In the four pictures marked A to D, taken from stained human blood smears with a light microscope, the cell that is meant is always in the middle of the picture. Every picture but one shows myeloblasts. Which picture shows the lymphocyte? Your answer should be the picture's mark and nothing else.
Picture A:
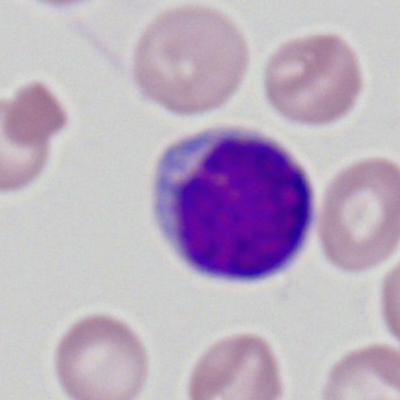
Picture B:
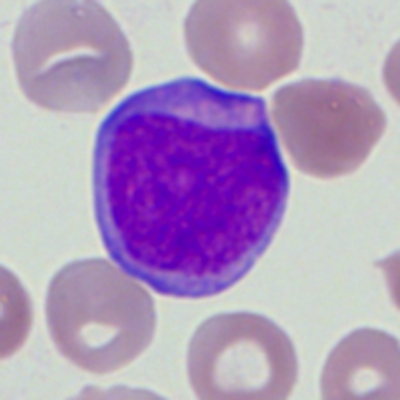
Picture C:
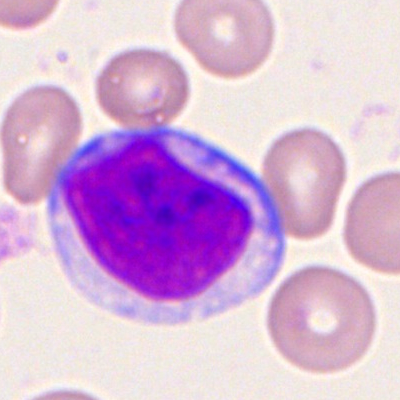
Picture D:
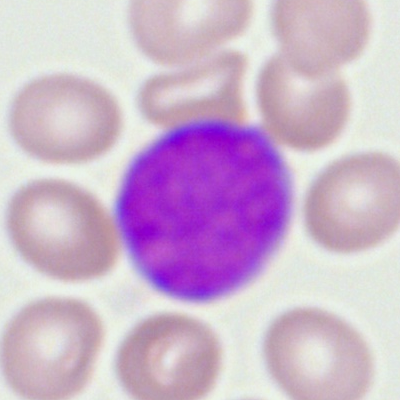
A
